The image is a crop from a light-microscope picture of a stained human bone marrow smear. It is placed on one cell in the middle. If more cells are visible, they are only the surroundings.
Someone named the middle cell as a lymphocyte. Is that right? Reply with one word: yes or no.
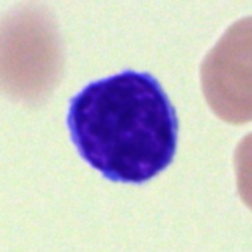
yes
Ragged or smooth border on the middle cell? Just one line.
The cell is outlined unevenly, the border being ragged or extended into projections.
